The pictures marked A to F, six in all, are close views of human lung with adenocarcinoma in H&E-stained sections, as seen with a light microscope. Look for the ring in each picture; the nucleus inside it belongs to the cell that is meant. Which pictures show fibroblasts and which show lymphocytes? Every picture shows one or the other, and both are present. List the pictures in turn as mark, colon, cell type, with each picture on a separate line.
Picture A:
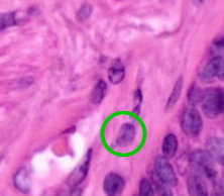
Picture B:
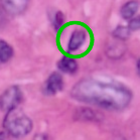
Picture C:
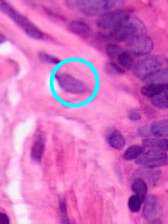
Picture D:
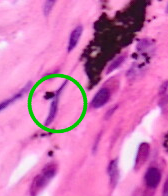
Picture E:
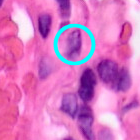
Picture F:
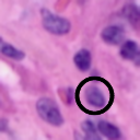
A: fibroblast
B: lymphocyte
C: fibroblast
D: fibroblast
E: fibroblast
F: lymphocyte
